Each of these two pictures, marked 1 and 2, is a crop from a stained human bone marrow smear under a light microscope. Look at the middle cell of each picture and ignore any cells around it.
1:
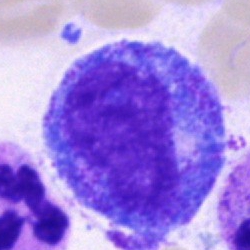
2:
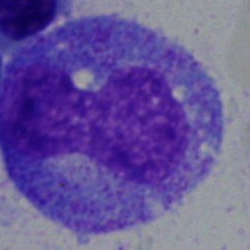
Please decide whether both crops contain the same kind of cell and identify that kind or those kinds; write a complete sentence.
Yes, both crops show promyelocytes in their central position.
